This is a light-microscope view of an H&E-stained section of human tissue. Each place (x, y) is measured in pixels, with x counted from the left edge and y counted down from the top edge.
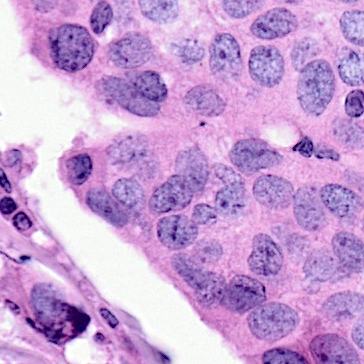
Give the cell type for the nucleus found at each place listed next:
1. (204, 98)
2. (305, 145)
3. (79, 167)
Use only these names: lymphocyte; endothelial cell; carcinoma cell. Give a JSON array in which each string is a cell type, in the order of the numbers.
["carcinoma cell", "lymphocyte", "carcinoma cell"]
